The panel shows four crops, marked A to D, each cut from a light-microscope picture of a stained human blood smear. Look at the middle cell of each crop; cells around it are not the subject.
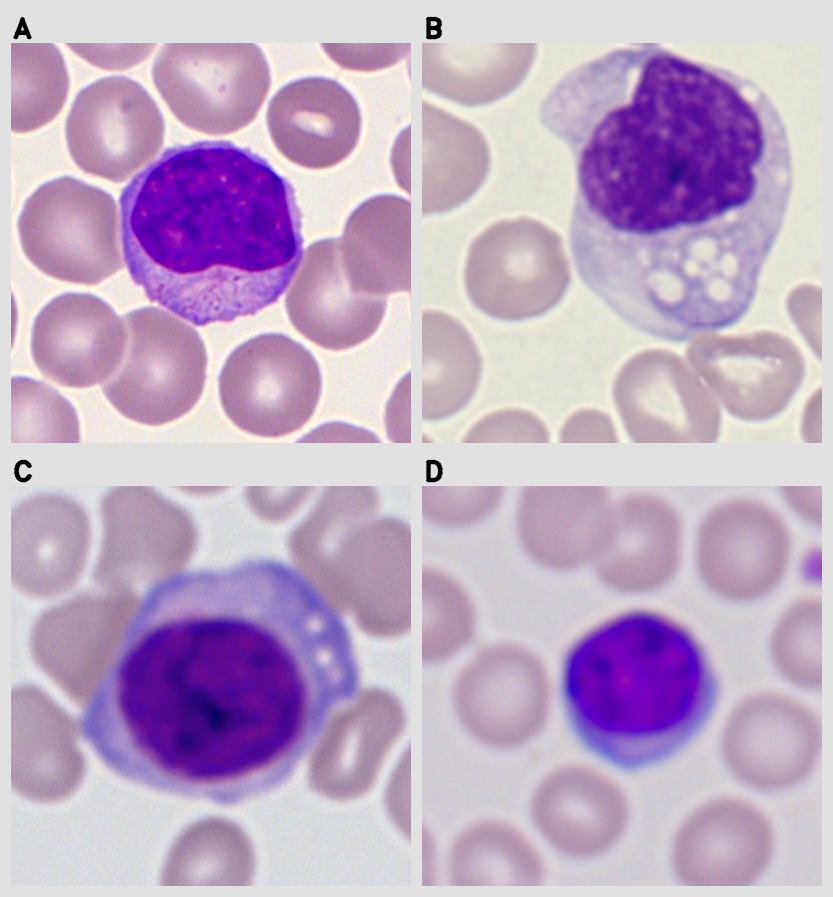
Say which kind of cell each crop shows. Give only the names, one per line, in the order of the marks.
lymphocyte
monocyte
monocyte
lymphocyte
